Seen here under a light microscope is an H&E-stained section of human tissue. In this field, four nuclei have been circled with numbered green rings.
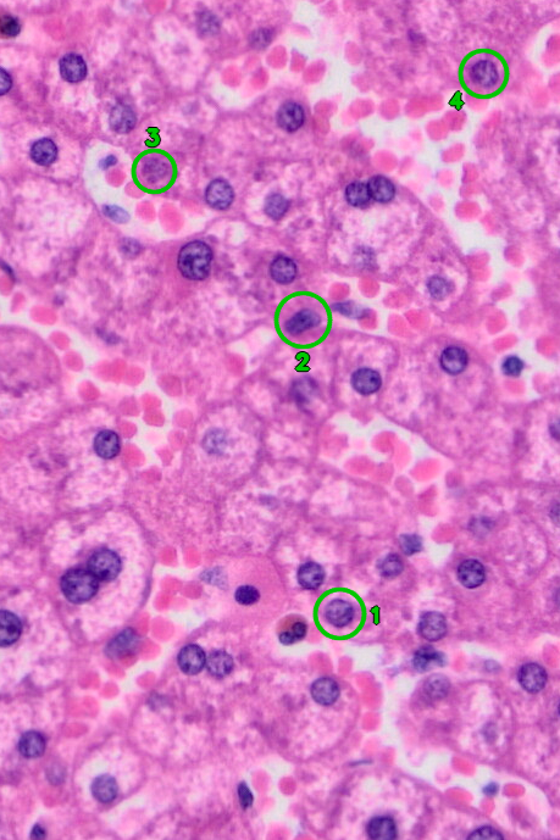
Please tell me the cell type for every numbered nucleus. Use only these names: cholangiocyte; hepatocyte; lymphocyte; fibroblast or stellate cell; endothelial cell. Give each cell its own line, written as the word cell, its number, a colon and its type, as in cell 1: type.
cell 1: hepatocyte
cell 2: fibroblast or stellate cell
cell 3: hepatocyte
cell 4: hepatocyte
